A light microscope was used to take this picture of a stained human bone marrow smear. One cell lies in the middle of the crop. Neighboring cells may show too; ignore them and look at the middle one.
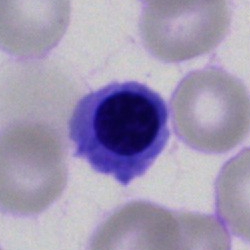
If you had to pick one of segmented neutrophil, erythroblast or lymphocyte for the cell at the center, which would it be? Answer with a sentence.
In the middle of this smear crop is an erythroblast.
